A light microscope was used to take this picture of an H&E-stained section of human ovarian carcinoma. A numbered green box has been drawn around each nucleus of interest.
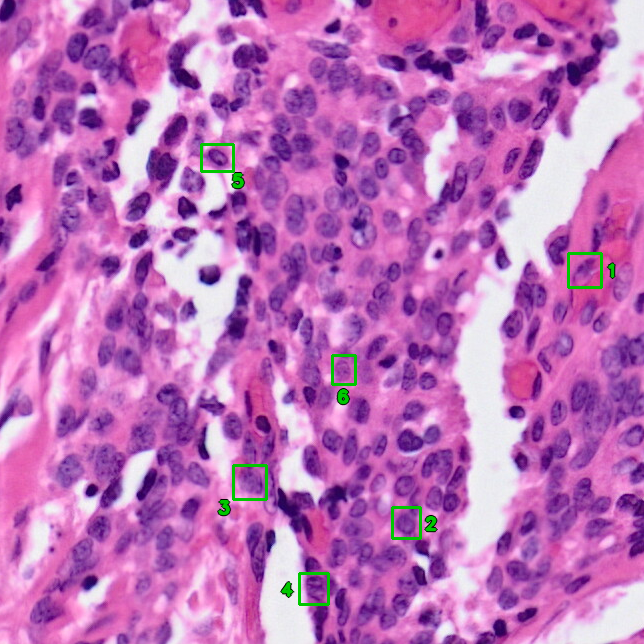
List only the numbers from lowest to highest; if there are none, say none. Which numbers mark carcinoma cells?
2, 4, 6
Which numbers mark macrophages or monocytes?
5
